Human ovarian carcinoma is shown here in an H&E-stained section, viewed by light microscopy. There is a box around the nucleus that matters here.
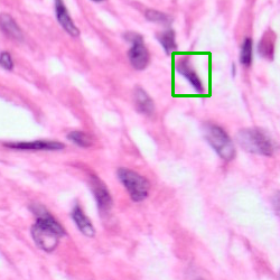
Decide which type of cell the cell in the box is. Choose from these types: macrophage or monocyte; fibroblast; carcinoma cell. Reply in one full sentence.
Right, so the cell in the box is a fibroblast, to answer that.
